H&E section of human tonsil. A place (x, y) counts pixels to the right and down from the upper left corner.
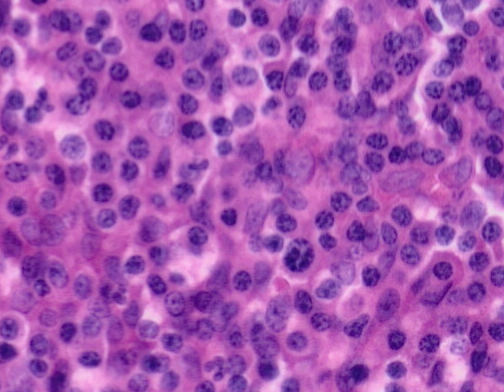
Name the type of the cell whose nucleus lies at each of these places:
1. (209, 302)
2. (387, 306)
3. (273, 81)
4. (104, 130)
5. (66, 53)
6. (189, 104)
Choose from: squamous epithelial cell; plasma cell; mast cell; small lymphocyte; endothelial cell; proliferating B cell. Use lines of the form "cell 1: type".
cell 1: squamous epithelial cell
cell 2: squamous epithelial cell
cell 3: plasma cell
cell 4: plasma cell
cell 5: plasma cell
cell 6: plasma cell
